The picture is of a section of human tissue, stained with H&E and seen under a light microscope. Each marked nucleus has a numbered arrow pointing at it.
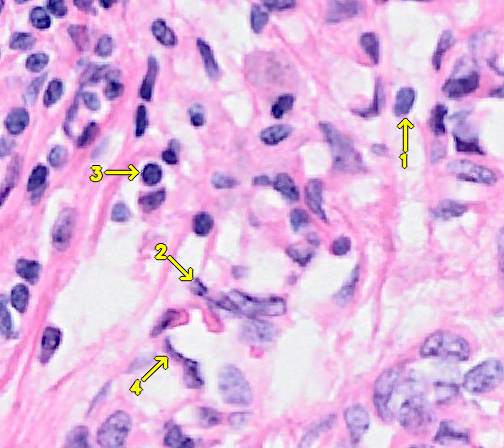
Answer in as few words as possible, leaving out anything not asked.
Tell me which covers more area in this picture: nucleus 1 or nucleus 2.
1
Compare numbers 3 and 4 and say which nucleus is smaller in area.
4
